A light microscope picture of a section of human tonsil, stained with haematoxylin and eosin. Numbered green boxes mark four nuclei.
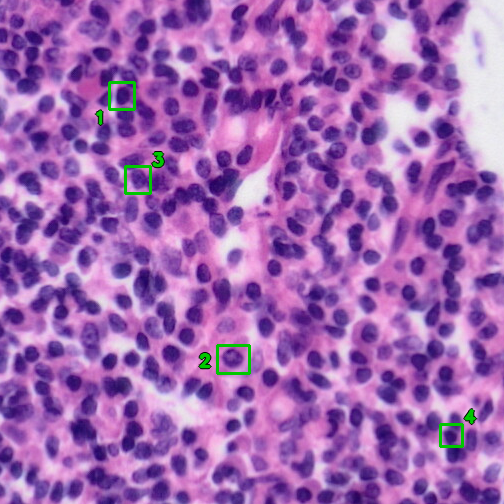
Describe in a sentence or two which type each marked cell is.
Cell 1 is a small lymphocyte, cell 2 is a plasma cell, cell 3 is a small lymphocyte and cell 4 is a small lymphocyte.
